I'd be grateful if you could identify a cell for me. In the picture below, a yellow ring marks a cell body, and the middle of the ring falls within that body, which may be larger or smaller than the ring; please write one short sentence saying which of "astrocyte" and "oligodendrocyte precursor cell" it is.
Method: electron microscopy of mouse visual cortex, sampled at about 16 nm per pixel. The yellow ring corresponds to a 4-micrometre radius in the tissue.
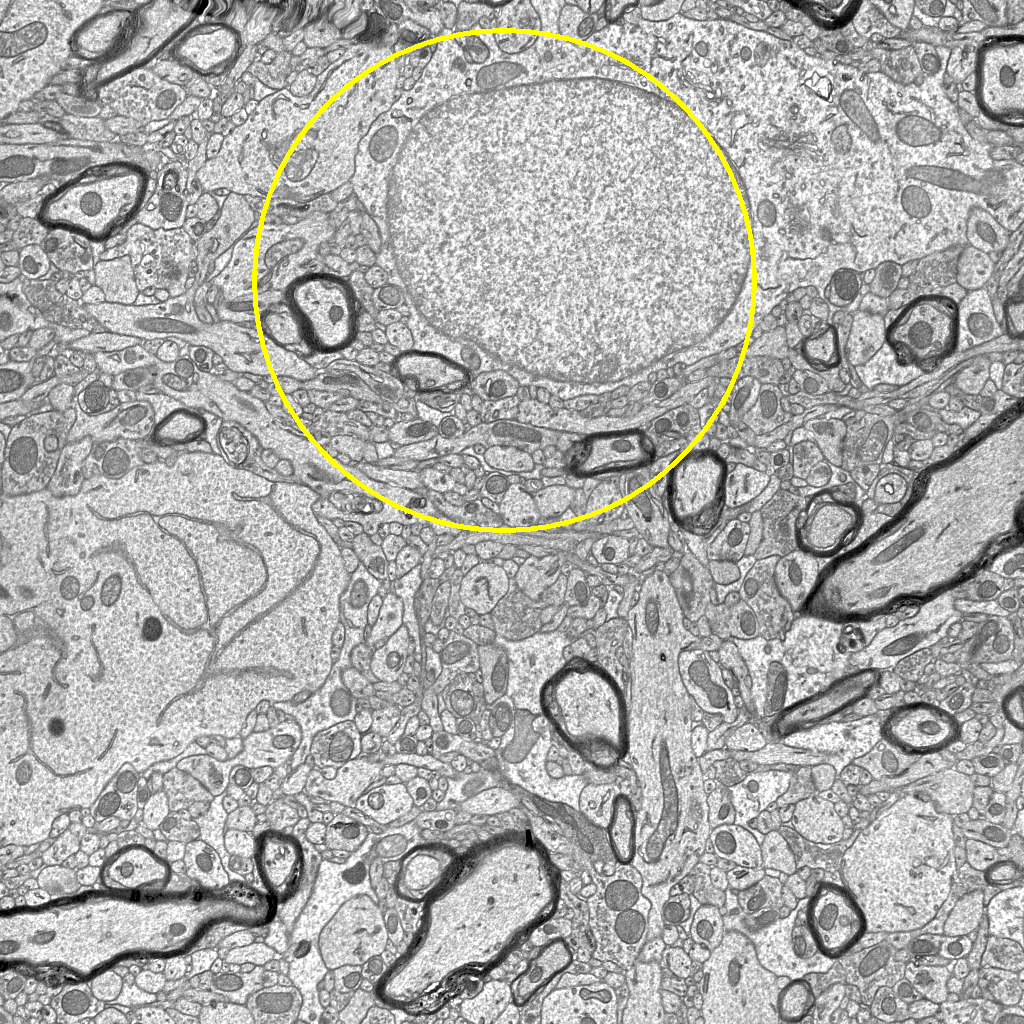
The cell under the ring's centre is an astrocyte.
